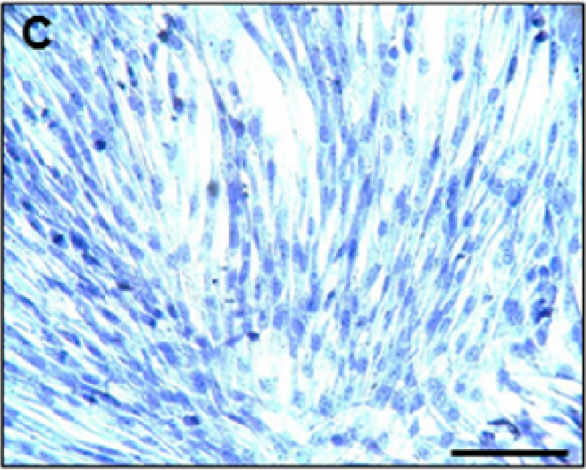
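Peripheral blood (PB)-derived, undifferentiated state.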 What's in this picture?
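A dense culture of mesenchymal stem cells with elongated, spindle-shaped bodies aligned in roughly parallel streams that sweep across the field. Each cell carries an oval to elongated nucleus stained blue to violet, the nuclei oriented along the long axis of their cells. The cytoplasm is pale and only faintly tinted, so cell borders are hard to follow, while nuclei stand out clearly. Cells lie closely packed, side by side, with scattered pale gaps between streams. No intensely stained matrix deposits or clusters are evident; the staining is largely confined to nuclei.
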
